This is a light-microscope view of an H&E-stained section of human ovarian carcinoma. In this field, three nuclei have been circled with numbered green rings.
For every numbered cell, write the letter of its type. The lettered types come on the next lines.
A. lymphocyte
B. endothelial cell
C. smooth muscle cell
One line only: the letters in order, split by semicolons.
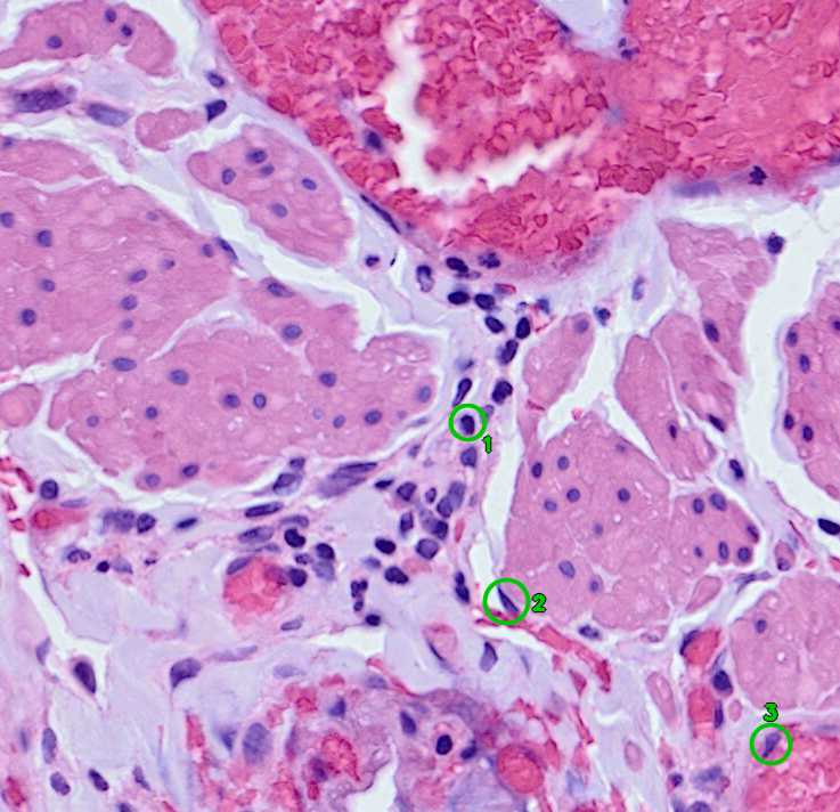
A; B; B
